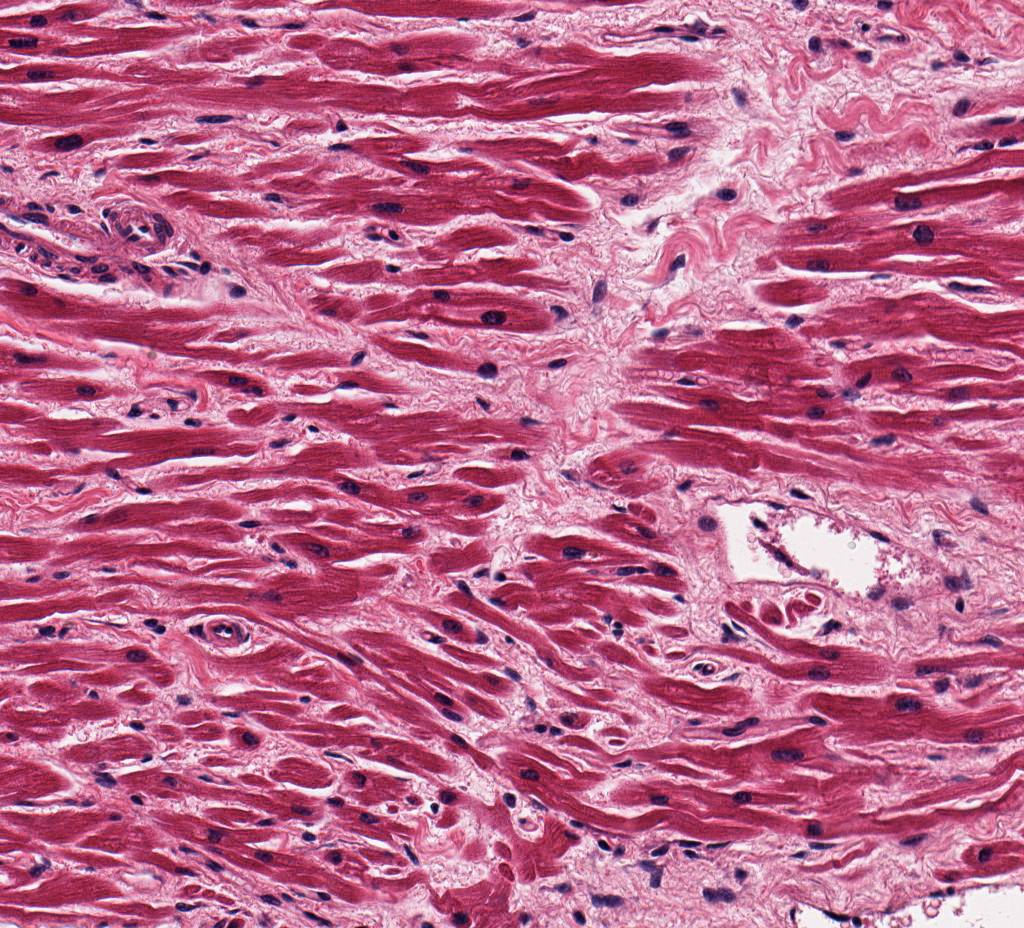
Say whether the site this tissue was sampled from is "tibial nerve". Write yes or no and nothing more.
no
